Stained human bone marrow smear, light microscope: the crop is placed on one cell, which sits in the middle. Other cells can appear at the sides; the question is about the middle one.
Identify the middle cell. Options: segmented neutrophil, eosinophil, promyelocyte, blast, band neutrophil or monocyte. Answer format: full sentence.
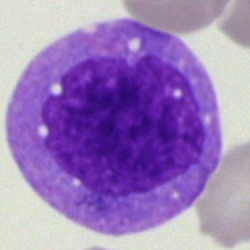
Centred in the crop is a monocyte.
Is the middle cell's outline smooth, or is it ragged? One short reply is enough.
Smooth outline, no projections: that is the whole story of its edge.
